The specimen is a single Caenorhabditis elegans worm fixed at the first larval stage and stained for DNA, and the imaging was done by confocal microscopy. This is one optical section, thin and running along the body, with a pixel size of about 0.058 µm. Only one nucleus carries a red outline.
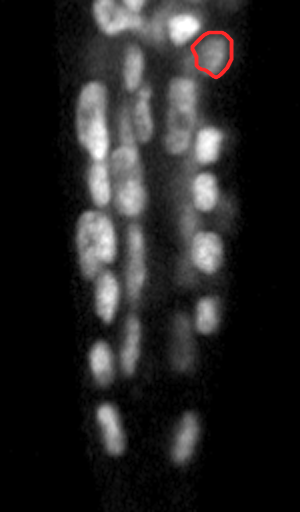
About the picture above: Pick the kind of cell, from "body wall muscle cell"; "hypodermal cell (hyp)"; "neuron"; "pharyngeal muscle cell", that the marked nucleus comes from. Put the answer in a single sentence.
This is the nucleus of a body wall muscle cell.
